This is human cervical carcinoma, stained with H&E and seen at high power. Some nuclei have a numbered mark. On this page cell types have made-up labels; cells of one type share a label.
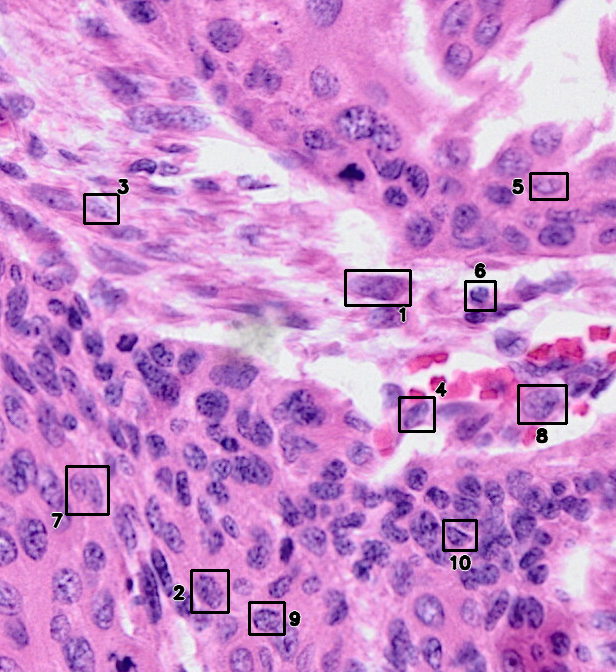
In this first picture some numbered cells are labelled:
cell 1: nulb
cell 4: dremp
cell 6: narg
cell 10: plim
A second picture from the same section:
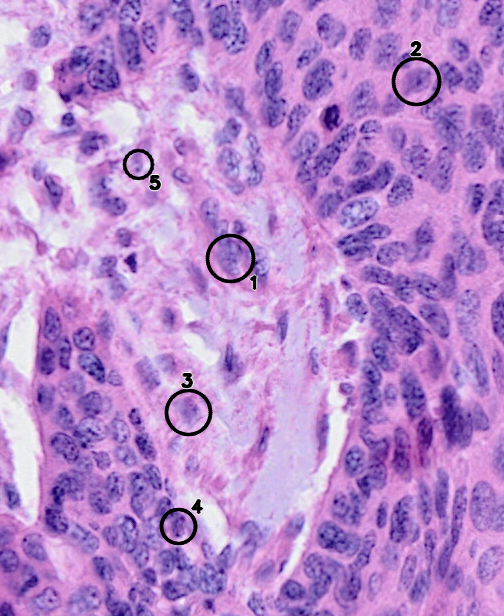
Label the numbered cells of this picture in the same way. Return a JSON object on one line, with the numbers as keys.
{"1": "dremp", "2": "plim", "3": "nulb", "4": "plim", "5": "nulb"}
